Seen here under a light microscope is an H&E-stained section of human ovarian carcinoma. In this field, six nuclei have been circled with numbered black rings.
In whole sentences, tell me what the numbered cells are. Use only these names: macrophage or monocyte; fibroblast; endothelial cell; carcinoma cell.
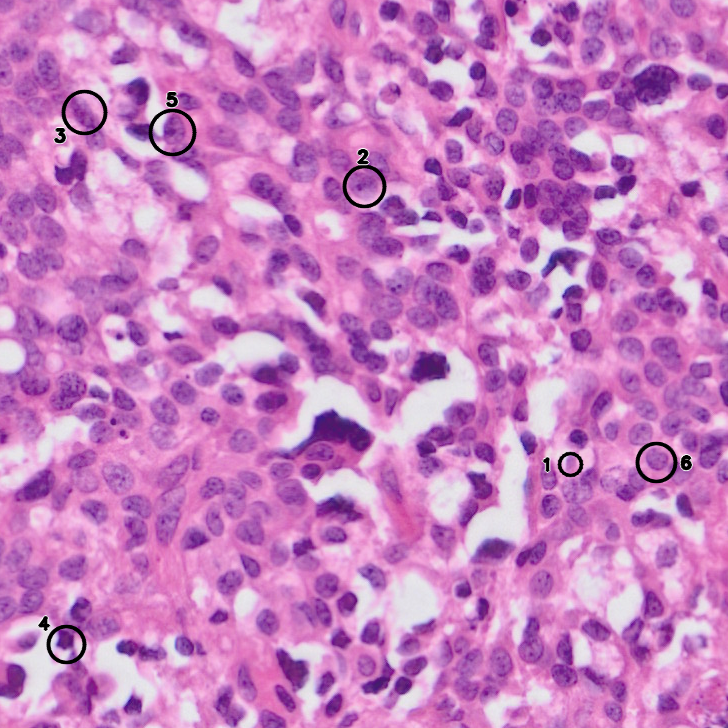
Cell 1 is a macrophage or monocyte, cell 2 is a carcinoma cell, cell 3 is a carcinoma cell, cell 4 is a carcinoma cell, cell 5 is a carcinoma cell and cell 6 is a macrophage or monocyte.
